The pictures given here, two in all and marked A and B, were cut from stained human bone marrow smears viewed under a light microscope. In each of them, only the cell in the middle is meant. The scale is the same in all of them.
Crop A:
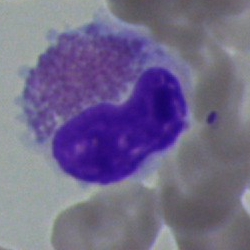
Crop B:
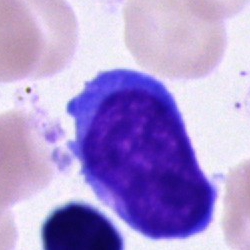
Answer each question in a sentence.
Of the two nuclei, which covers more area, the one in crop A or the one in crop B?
It is the nucleus in crop B, about 1.5 times as large in area as the one in crop A.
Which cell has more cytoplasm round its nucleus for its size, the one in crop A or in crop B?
It is the cell in crop A that is filled less by its nucleus.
